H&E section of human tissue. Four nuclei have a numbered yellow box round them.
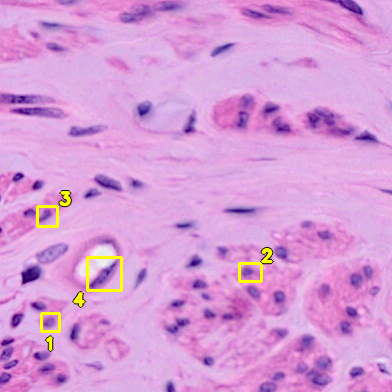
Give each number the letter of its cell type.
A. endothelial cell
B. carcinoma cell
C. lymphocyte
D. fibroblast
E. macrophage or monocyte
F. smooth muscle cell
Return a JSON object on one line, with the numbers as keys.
{"1": "F", "2": "F", "3": "F", "4": "A"}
